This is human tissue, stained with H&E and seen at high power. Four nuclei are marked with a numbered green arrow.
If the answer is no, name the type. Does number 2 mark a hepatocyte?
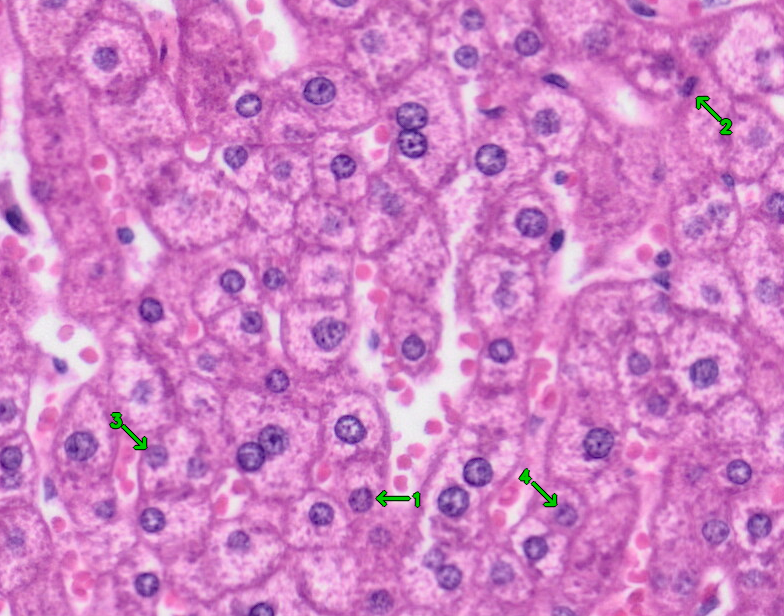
No, it is a fibroblast or stellate cell.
